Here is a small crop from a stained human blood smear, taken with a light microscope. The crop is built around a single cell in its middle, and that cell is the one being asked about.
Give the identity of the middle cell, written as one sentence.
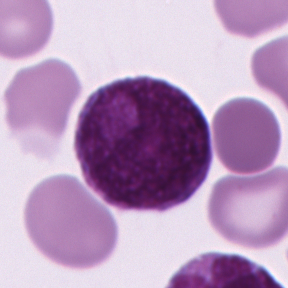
The cell in the exact centre of the crop is a myeloblast.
